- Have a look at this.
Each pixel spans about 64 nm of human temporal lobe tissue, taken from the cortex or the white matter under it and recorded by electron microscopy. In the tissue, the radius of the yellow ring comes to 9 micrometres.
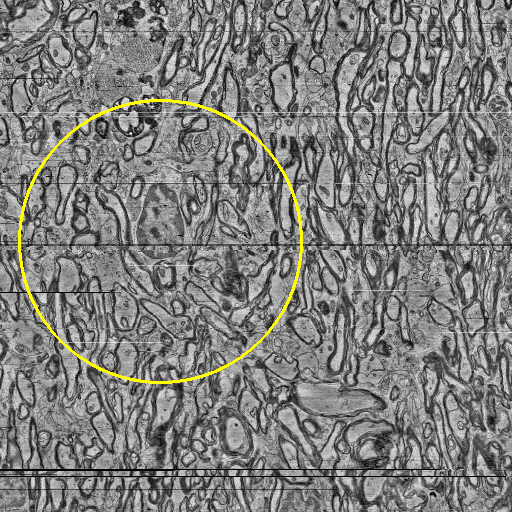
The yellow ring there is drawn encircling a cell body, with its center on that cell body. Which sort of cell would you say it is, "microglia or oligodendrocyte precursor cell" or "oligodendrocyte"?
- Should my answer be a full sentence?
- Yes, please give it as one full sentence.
For this picture, a microglial cell or oligodendrocyte precursor cell is the cell where the yellow ring has its center.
